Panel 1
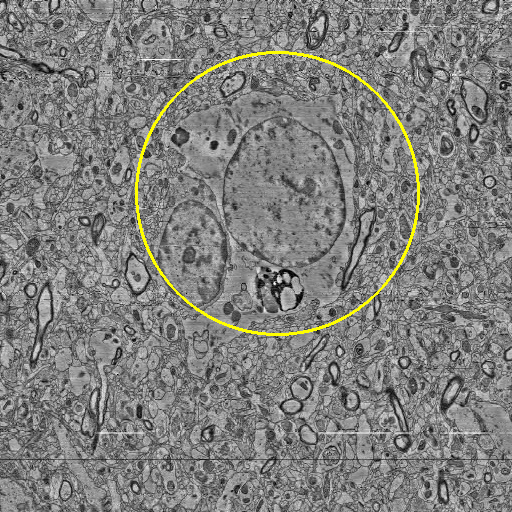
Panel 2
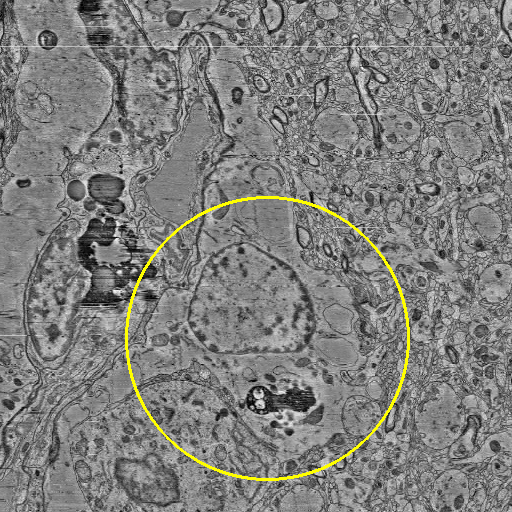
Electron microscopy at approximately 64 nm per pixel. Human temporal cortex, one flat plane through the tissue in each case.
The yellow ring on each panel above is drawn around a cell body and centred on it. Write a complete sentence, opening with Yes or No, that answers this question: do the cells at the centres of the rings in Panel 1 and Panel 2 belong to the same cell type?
Yes, both cells belong to the same cell type.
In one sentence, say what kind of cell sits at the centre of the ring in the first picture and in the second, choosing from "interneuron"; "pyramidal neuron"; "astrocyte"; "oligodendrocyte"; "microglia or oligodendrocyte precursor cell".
Each of the two rings surrounds an astrocyte.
